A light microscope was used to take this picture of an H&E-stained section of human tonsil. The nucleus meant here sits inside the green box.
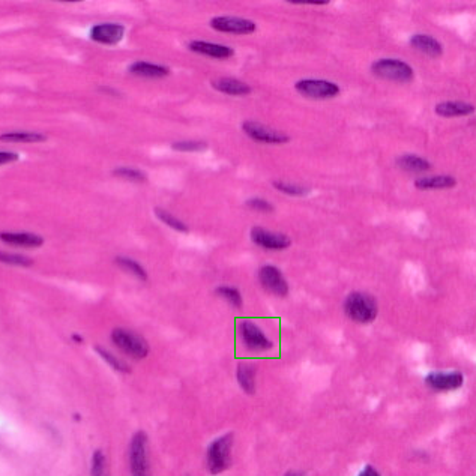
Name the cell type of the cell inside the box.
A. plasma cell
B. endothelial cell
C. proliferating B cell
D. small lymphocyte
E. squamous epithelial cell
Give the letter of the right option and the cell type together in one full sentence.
Identified correctly by option E, the cell inside the box is a squamous epithelial cell.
